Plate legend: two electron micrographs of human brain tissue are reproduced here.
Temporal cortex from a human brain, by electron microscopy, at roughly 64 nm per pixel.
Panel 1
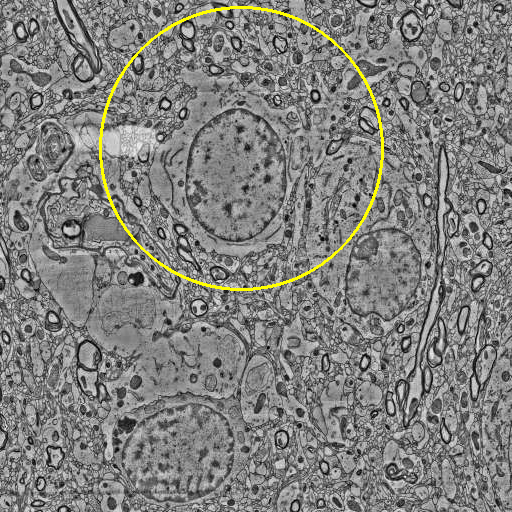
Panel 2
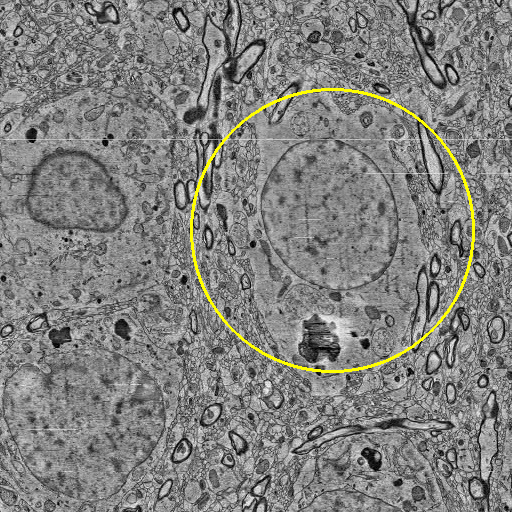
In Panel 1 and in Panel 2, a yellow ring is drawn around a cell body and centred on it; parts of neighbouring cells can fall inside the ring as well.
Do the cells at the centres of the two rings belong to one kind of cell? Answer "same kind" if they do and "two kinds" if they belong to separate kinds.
same kind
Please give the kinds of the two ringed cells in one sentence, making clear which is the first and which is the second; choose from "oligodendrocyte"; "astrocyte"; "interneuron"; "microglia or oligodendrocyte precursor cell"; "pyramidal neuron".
Each of the ringed cells, first and second, is an astrocyte.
